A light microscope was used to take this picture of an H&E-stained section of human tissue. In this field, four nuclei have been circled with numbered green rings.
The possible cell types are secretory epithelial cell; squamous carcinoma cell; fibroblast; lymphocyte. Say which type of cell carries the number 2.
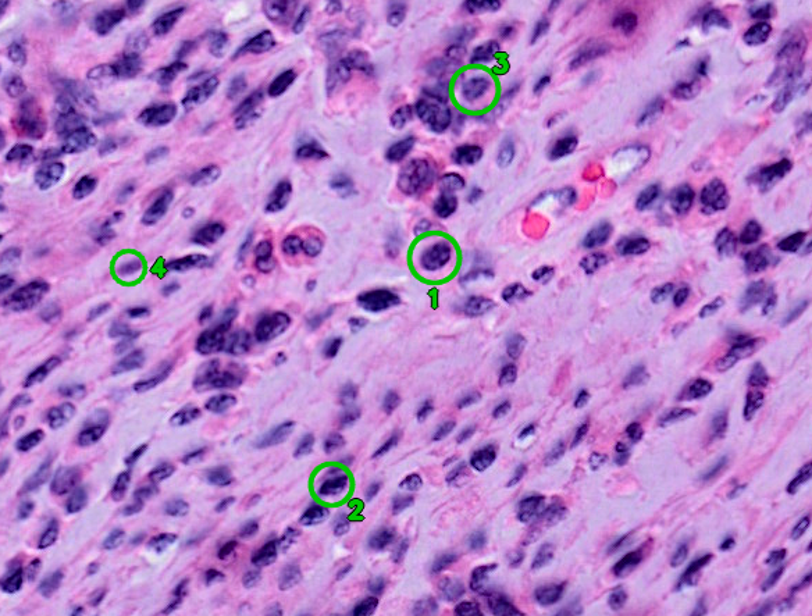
lymphocyte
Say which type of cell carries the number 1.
lymphocyte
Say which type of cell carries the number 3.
lymphocyte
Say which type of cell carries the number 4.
fibroblast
